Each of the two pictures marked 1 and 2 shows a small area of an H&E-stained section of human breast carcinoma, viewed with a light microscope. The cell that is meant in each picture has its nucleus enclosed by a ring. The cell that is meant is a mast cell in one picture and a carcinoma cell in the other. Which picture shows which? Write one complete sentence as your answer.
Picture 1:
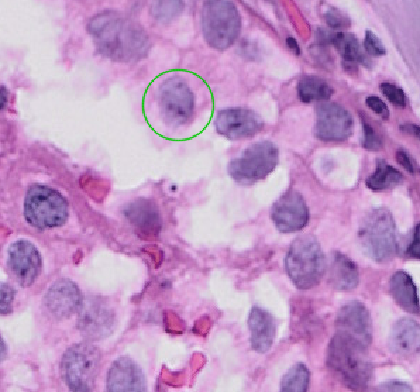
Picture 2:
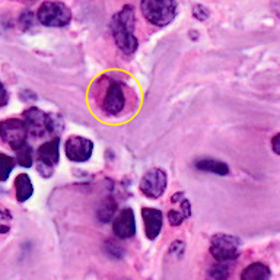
Picture 1 is of a carcinoma cell, and picture 2 is of a mast cell.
